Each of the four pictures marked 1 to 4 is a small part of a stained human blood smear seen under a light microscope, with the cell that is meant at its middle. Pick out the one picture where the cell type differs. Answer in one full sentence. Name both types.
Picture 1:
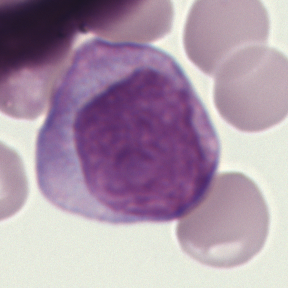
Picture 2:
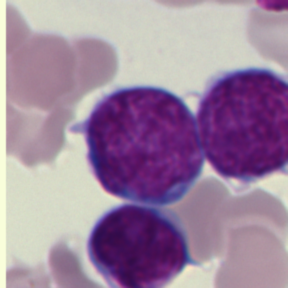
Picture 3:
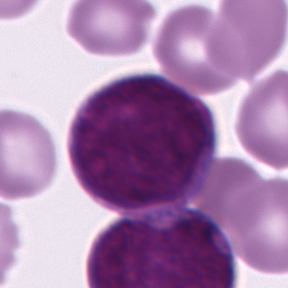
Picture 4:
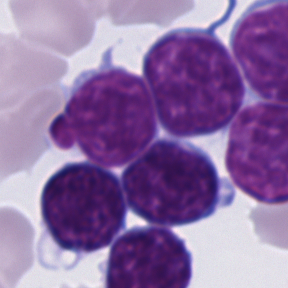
Unlike the rest, which show myeloblasts, picture 1 shows an atypical promyelocyte.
